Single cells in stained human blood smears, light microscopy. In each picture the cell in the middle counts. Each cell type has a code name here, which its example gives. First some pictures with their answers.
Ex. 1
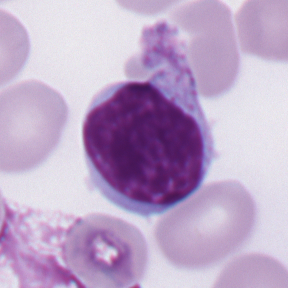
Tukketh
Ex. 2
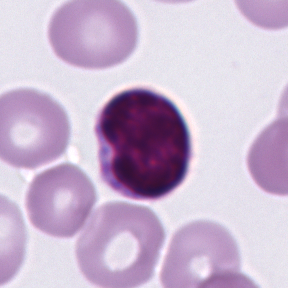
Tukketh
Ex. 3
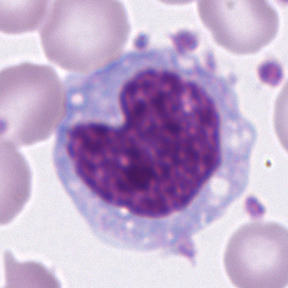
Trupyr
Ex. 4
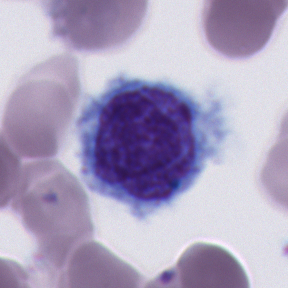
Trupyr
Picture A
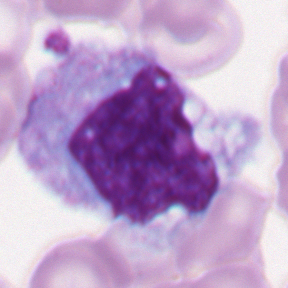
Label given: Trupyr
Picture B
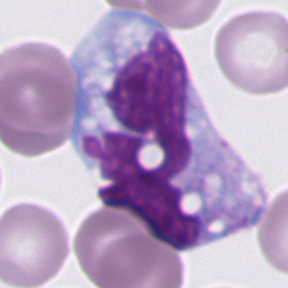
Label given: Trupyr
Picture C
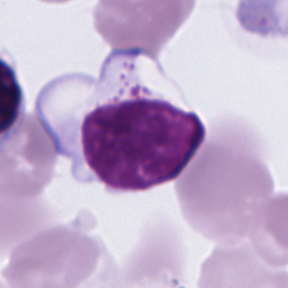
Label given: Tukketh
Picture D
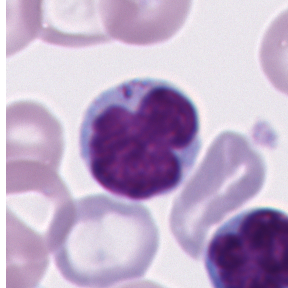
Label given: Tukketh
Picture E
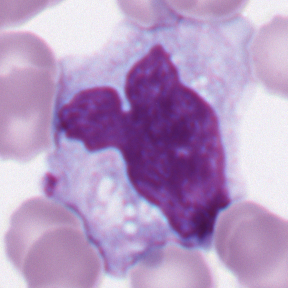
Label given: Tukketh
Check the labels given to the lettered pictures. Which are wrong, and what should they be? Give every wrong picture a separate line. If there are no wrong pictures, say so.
E: Trupyr, not Tukketh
